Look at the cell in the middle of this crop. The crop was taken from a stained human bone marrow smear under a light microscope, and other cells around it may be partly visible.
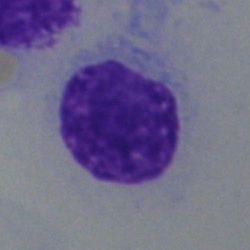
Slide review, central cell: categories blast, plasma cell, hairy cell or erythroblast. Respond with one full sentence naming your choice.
Seen at the centre of the crop is a hairy cell.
